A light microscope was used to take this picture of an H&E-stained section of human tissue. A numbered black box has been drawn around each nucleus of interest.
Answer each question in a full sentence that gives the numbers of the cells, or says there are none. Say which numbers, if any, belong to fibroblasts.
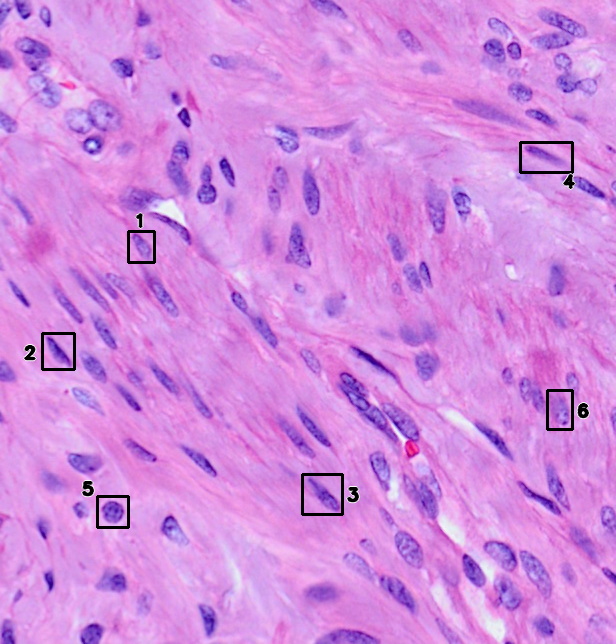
The cells shown with numbers 2 and 3 are fibroblasts.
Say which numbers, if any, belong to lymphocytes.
Only the cell carrying number 5 is a lymphocyte.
